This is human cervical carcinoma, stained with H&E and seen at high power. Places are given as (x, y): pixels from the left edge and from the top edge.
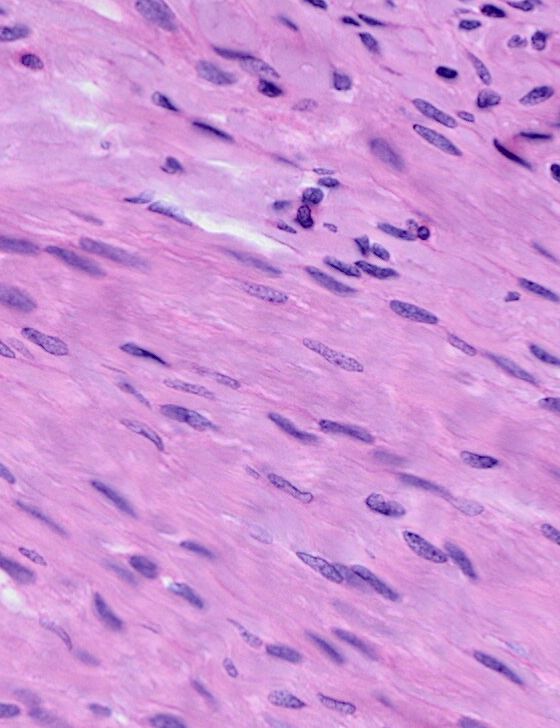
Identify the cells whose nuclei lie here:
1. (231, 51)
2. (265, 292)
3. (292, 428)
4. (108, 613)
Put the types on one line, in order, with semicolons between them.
fibroblast; smooth muscle cell; fibroblast; fibroblast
